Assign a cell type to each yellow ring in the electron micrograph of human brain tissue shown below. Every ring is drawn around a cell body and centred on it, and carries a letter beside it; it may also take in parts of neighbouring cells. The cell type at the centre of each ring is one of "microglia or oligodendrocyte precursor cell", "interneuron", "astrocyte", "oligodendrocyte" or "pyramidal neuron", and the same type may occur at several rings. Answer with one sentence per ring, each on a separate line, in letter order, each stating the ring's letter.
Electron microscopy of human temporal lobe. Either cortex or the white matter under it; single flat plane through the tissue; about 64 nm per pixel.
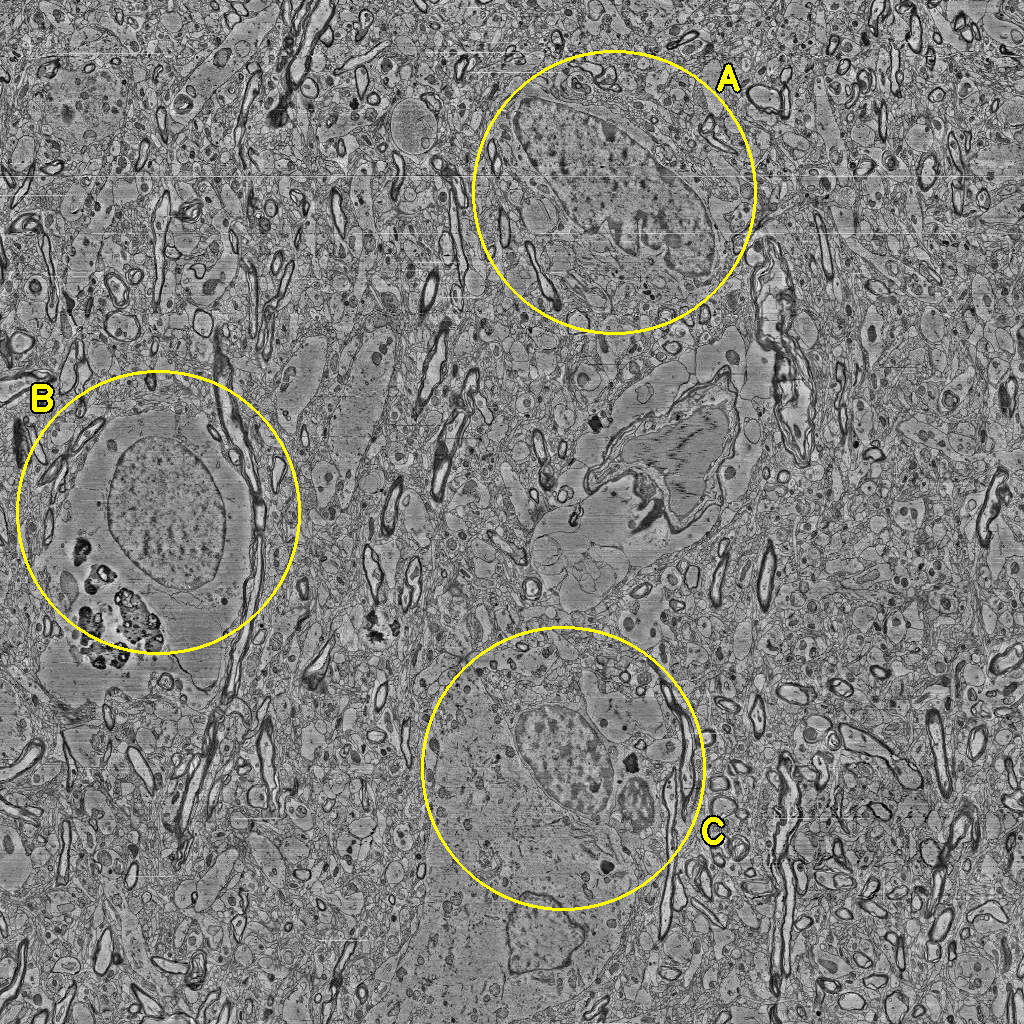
The cell at ring A's centre is a microglial cell or oligodendrocyte precursor cell.
The cell at ring B's centre is an astrocyte.
The cell at ring C's centre is an oligodendrocyte.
